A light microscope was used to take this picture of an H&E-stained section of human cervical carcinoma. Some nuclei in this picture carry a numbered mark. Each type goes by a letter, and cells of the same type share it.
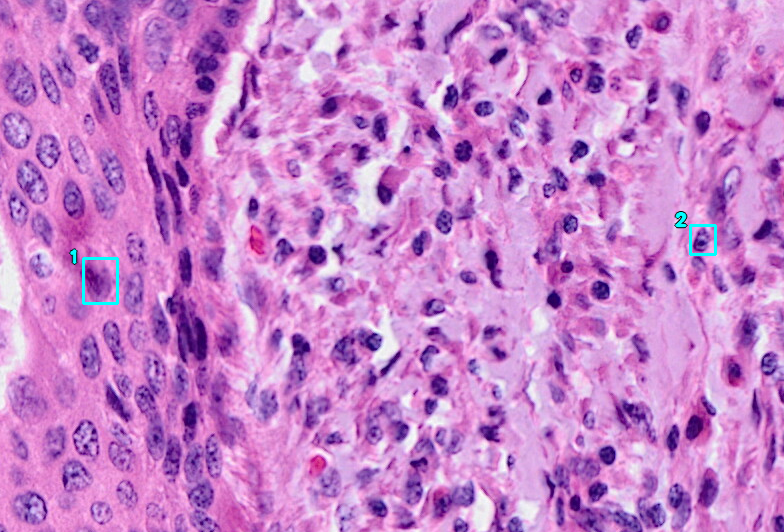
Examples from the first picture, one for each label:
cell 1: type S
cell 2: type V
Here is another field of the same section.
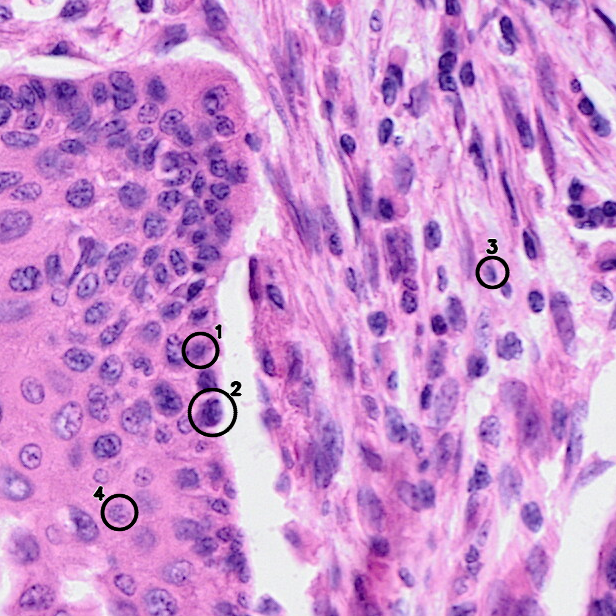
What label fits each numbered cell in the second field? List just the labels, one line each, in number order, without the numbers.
type S
type S
type V
type S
